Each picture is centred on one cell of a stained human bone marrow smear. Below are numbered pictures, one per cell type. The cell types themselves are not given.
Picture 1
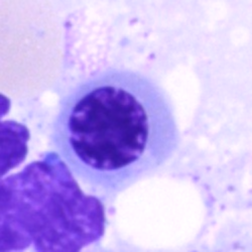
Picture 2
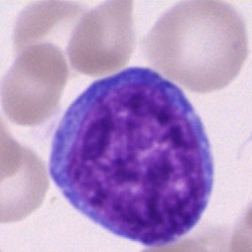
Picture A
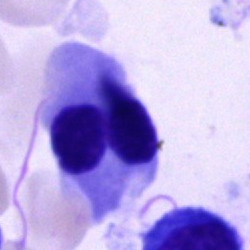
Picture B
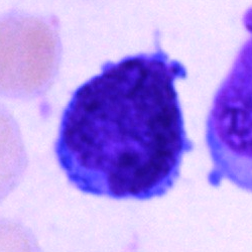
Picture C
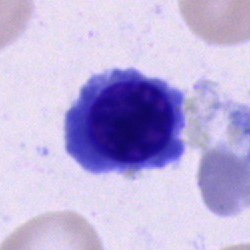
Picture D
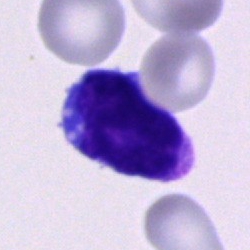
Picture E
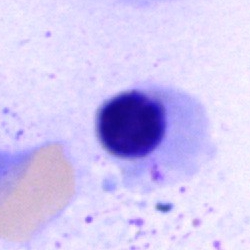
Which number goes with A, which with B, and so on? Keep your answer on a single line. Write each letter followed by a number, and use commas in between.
A 1, B 2, C 1, D 2, E 1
